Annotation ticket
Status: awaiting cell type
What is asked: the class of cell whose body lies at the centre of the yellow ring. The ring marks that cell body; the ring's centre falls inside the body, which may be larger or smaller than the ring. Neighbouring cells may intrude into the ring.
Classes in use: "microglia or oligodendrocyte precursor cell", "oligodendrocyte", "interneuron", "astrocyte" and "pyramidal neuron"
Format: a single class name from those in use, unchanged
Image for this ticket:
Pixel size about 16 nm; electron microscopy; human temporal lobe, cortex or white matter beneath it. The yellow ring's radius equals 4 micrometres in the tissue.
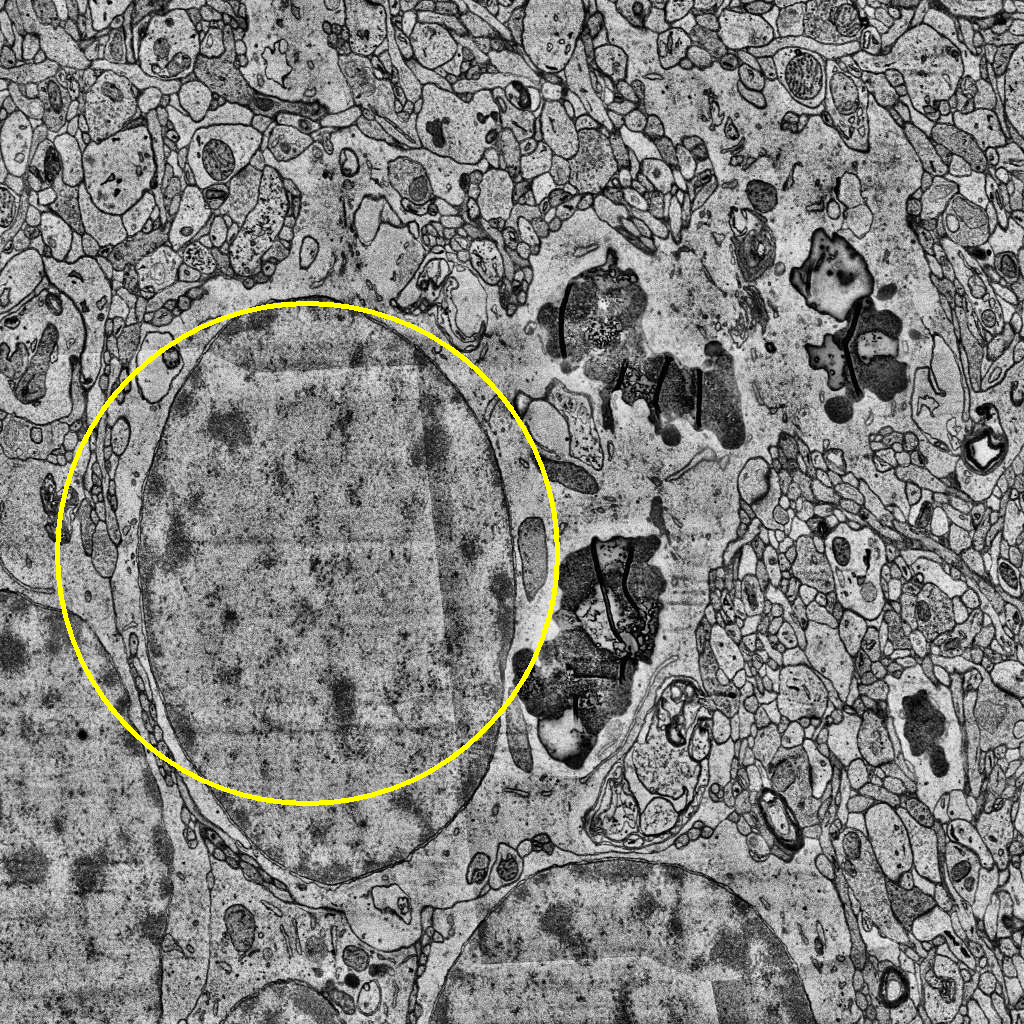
astrocyte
